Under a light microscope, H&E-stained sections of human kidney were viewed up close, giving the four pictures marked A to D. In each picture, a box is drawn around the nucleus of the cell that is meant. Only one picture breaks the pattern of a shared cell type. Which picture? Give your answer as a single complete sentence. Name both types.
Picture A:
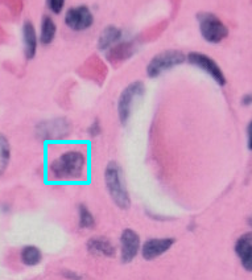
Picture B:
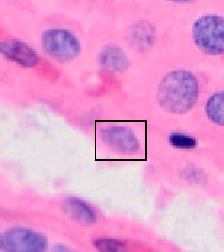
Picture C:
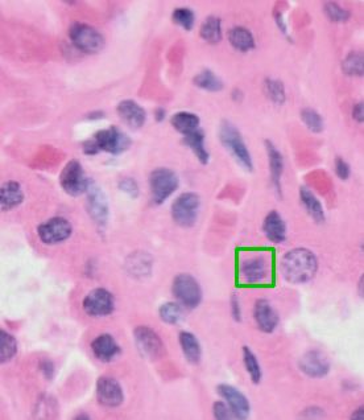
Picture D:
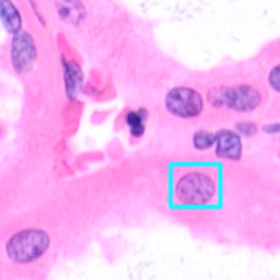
All pictures except D show “loop of Henle or distal tubule cells”; picture D shows a proximal tubule cell.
